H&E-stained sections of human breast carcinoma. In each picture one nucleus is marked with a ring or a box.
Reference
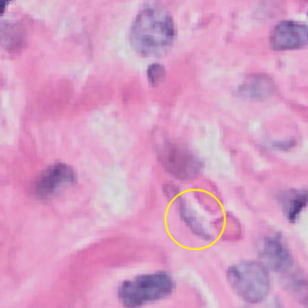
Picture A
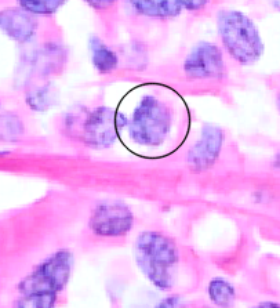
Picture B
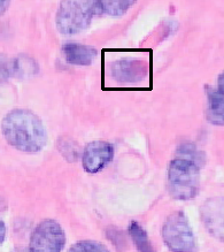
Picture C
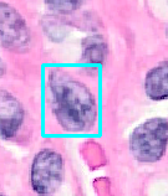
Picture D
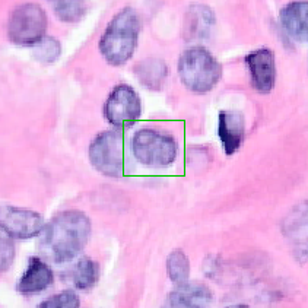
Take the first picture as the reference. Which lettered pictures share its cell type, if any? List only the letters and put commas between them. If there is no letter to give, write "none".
B, C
